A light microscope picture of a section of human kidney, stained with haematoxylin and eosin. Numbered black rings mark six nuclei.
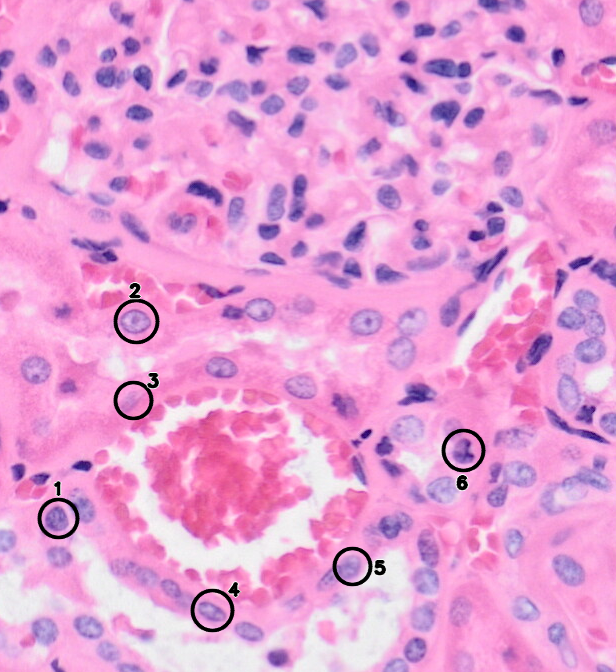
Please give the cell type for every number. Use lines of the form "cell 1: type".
cell 1: collecting duct cell
cell 2: proximal tubule cell
cell 3: proximal tubule cell
cell 4: collecting duct cell
cell 5: collecting duct cell
cell 6: collecting duct cell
